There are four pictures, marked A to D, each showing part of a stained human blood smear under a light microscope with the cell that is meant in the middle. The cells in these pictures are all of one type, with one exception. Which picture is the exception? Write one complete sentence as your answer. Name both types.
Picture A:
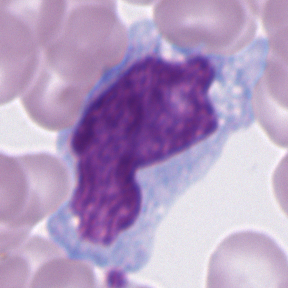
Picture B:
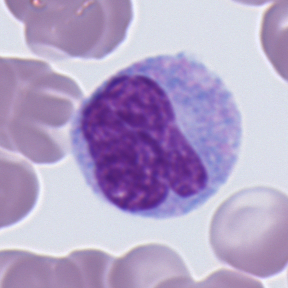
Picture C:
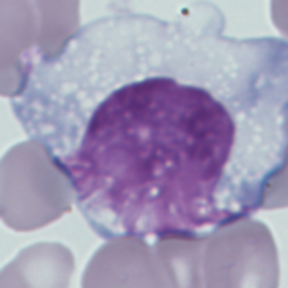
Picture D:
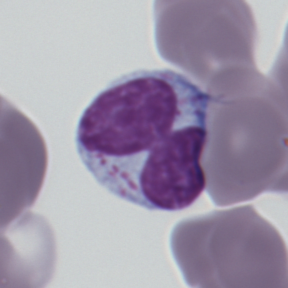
The different one is picture D; it shows a large granular lymphocyte, whereas all the others show monocytes.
